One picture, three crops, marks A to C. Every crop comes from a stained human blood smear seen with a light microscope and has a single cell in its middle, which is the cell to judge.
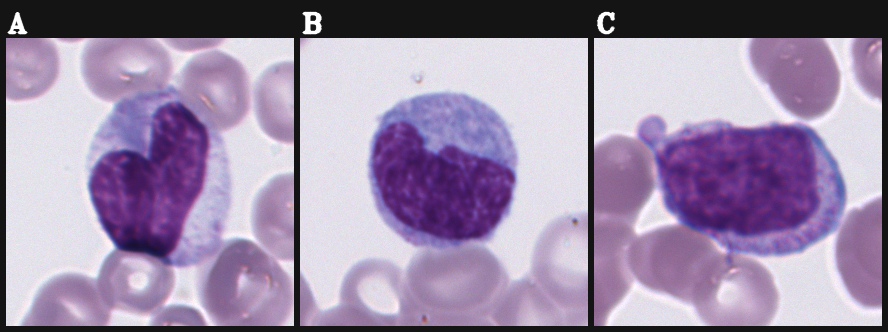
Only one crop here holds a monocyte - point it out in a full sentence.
The one crop that shows a monocyte is crop B.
